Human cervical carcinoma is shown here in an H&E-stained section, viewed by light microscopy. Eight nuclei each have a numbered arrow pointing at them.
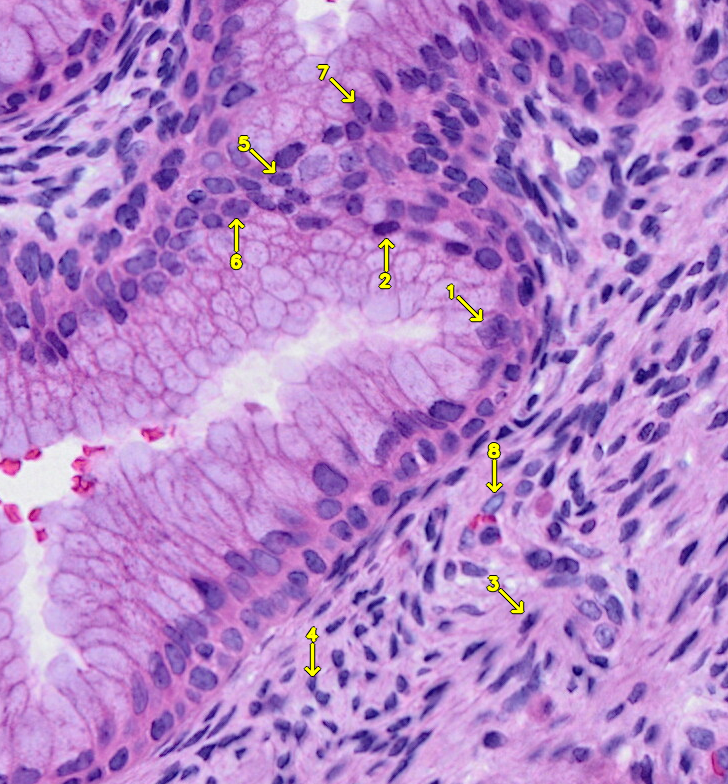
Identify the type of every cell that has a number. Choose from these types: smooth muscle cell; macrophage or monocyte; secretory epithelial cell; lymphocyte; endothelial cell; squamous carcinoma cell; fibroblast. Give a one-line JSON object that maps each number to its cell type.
{"1": "secretory epithelial cell", "2": "secretory epithelial cell", "3": "fibroblast", "4": "fibroblast", "5": "secretory epithelial cell", "6": "secretory epithelial cell", "7": "secretory epithelial cell", "8": "endothelial cell"}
